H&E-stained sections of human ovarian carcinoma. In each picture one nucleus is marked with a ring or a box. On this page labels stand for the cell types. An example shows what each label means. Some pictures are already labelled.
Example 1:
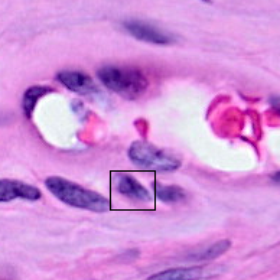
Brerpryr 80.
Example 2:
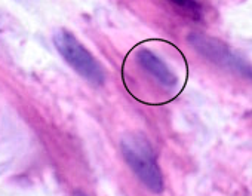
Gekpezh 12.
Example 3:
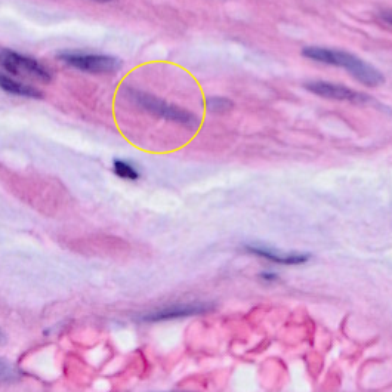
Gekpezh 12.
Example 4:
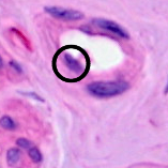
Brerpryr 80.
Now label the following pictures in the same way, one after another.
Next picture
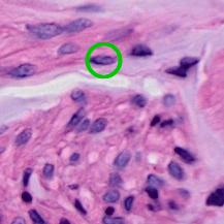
Gekpezh 12.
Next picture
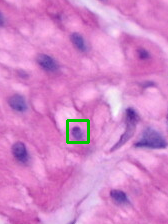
Gekpezh 12.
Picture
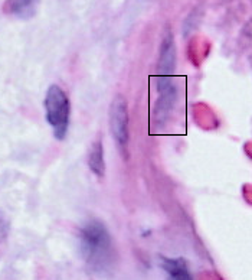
Brerpryr 80.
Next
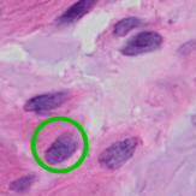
Gekpezh 12.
